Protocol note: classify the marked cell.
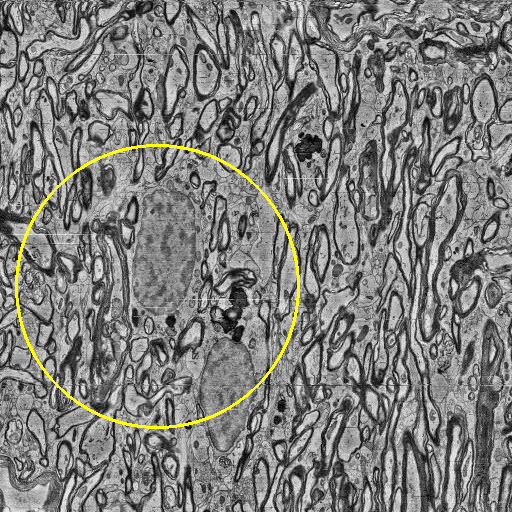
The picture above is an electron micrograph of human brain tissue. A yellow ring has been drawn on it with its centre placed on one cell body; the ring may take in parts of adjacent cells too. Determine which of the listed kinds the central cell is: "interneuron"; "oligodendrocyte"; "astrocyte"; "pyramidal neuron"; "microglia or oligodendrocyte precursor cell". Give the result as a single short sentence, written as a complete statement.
The central cell is an oligodendrocyte.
